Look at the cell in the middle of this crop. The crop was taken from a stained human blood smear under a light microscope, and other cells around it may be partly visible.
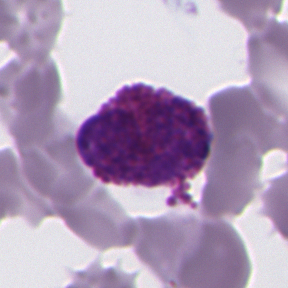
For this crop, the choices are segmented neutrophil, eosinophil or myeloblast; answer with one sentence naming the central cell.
The cell at the middle of the crop is recognized as an eosinophil.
